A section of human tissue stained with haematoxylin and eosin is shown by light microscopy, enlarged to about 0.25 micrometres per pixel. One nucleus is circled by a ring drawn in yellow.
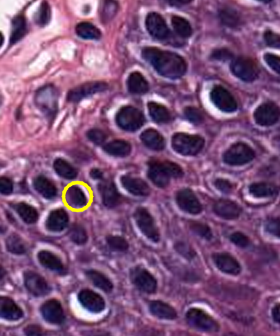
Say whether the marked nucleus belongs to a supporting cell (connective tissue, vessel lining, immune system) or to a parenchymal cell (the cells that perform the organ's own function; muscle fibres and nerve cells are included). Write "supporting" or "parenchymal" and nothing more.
parenchymal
